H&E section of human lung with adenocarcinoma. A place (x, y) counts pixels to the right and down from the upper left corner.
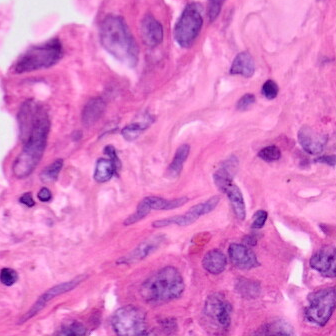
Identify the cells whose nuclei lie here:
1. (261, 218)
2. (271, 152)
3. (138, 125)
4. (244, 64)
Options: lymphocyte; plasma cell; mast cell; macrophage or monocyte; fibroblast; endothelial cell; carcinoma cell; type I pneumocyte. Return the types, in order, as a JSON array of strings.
["lymphocyte", "plasma cell", "fibroblast", "fibroblast"]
